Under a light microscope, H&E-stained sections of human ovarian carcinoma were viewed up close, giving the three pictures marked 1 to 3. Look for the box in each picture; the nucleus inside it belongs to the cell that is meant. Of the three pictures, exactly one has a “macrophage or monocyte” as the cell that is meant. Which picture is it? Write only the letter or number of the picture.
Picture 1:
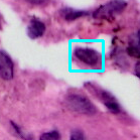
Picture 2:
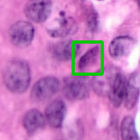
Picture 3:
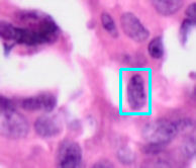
3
